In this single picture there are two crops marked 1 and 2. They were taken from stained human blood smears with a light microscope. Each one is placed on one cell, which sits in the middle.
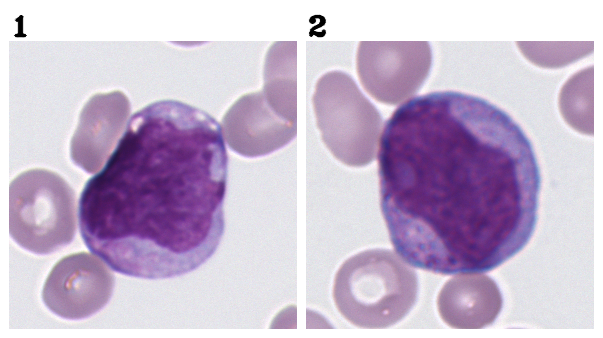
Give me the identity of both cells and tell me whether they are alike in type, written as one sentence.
Yes, atypical promyelocytes are depicted in both crops.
